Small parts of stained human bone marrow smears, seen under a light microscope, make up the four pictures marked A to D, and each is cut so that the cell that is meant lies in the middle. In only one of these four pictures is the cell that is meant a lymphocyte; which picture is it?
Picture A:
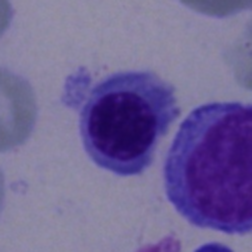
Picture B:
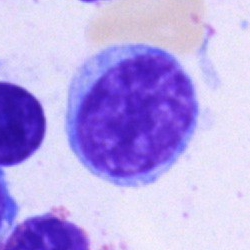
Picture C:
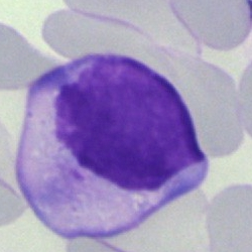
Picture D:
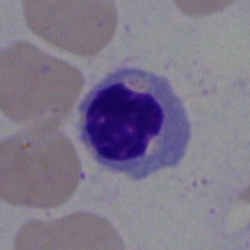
B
